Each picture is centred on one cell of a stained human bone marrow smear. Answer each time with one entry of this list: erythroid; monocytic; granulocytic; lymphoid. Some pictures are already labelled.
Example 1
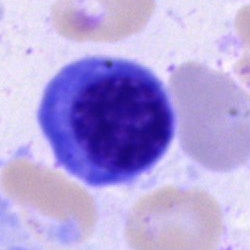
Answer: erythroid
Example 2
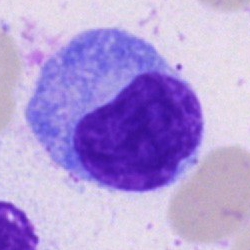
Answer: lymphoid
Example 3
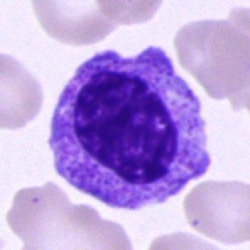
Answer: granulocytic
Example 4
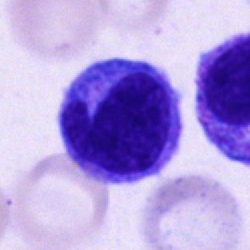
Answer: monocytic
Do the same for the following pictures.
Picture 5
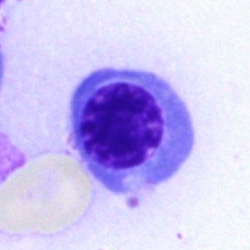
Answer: erythroid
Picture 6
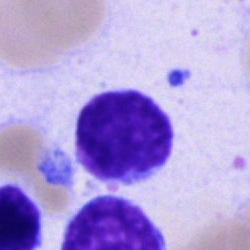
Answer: lymphoid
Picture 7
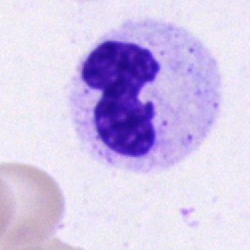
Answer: granulocytic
